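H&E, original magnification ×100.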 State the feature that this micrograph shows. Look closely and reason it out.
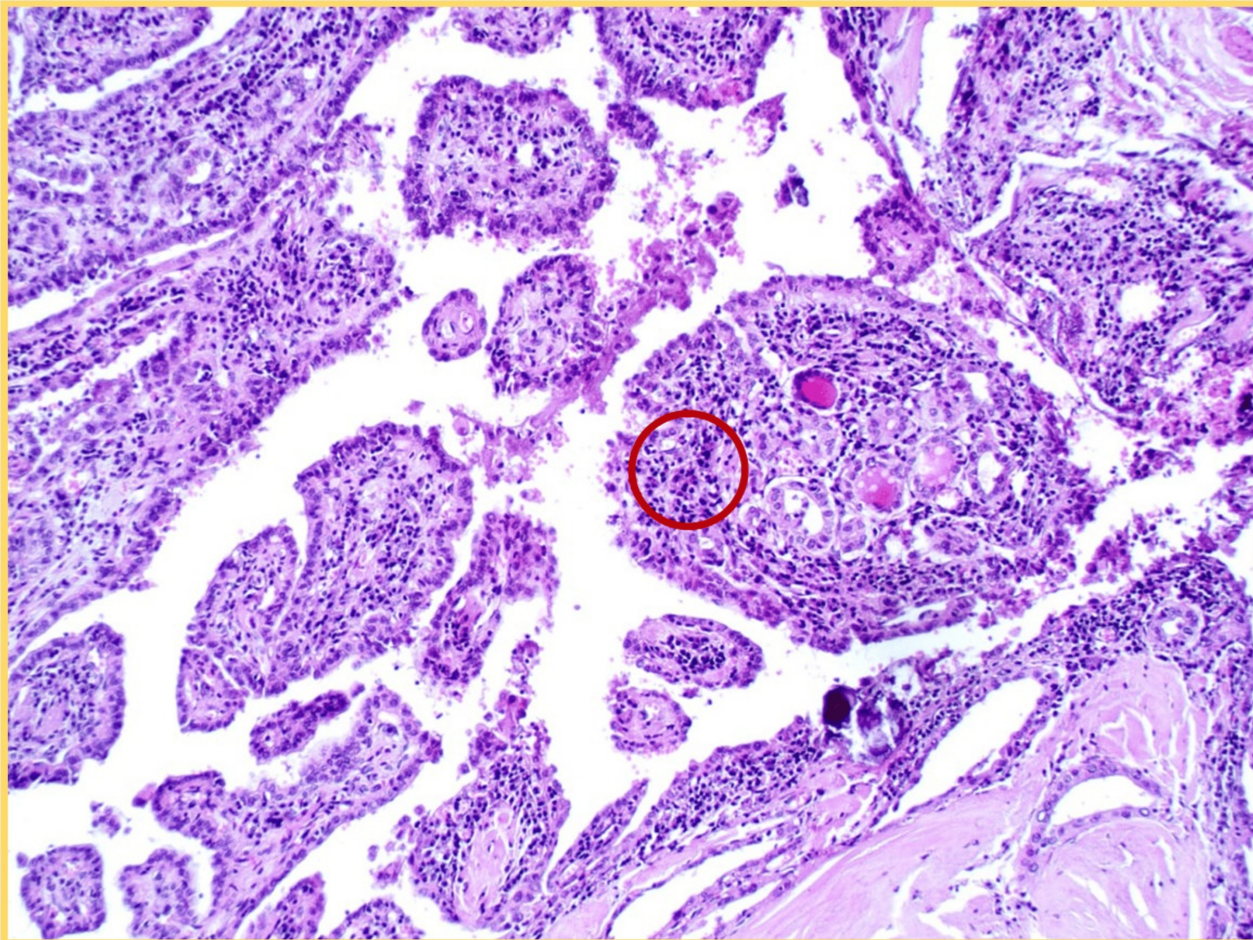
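Papillary structures with fibrovascular cores. Branching finger-like projections lie free in empty spaces. Each projection is covered by a layer of epithelial cells. The projections have a central core of connective tissue.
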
